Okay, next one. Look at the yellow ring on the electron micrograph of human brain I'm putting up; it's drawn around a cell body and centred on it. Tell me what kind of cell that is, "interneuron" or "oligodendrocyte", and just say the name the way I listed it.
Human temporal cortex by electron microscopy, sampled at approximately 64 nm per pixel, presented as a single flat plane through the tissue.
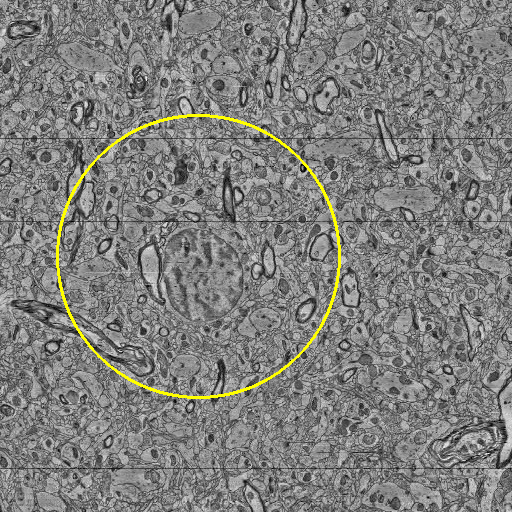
oligodendrocyte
